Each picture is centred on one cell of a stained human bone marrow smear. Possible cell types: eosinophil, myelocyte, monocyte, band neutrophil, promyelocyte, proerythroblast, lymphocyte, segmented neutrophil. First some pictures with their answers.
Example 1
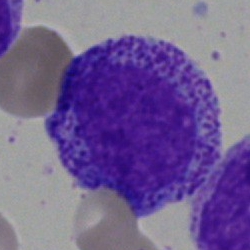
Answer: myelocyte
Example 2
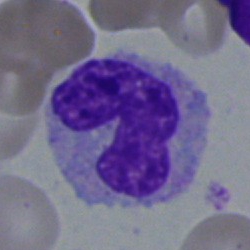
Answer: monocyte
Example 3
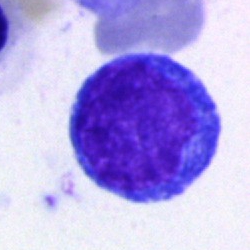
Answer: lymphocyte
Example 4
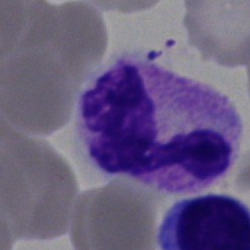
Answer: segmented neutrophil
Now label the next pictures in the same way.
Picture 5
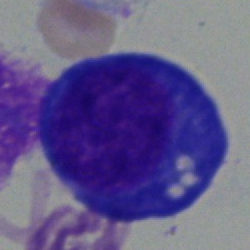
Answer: proerythroblast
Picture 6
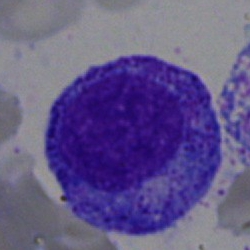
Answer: promyelocyte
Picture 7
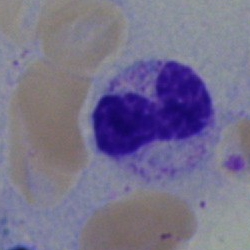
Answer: band neutrophil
